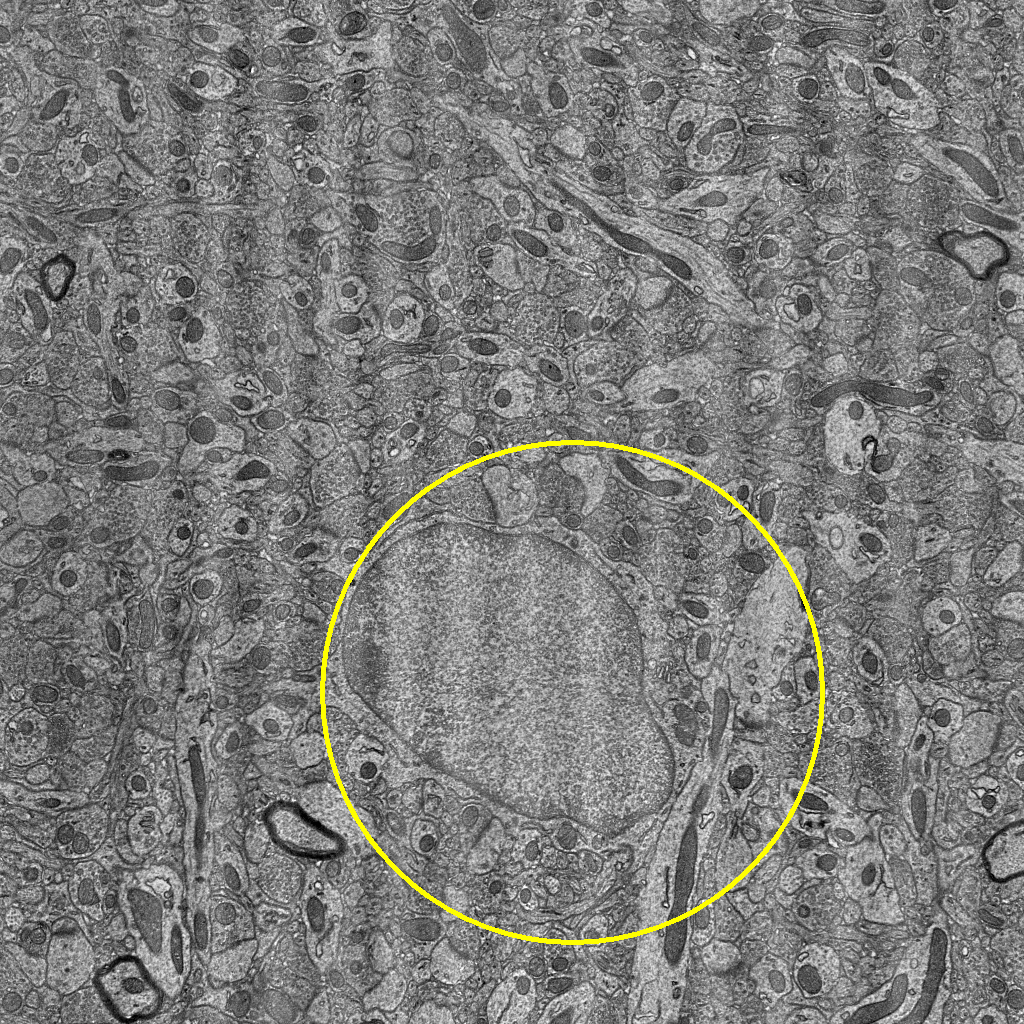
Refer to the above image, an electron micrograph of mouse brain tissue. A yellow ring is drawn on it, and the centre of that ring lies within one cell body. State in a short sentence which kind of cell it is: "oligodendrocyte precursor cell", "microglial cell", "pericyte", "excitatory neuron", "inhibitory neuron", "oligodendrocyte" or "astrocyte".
The centre of the ring falls on an astrocyte.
